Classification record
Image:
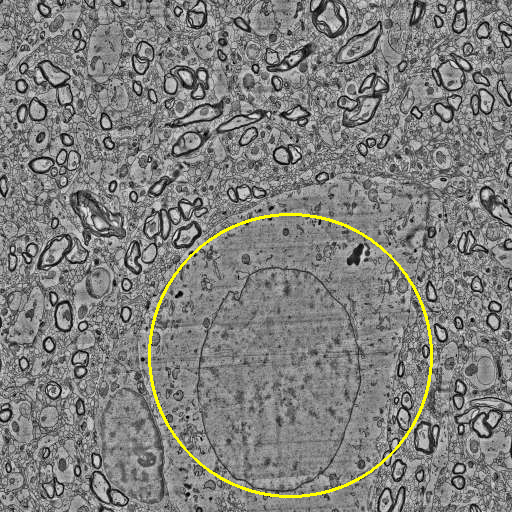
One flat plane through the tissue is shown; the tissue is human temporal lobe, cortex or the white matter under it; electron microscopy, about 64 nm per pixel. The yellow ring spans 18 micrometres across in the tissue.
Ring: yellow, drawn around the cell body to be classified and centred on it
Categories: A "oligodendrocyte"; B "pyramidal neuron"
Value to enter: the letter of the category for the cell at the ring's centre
B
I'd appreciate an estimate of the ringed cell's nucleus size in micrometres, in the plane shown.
The nucleus measures about 14 by 11 micrometres in this plane.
